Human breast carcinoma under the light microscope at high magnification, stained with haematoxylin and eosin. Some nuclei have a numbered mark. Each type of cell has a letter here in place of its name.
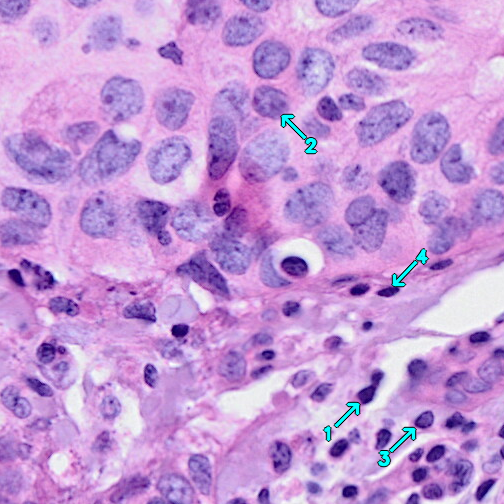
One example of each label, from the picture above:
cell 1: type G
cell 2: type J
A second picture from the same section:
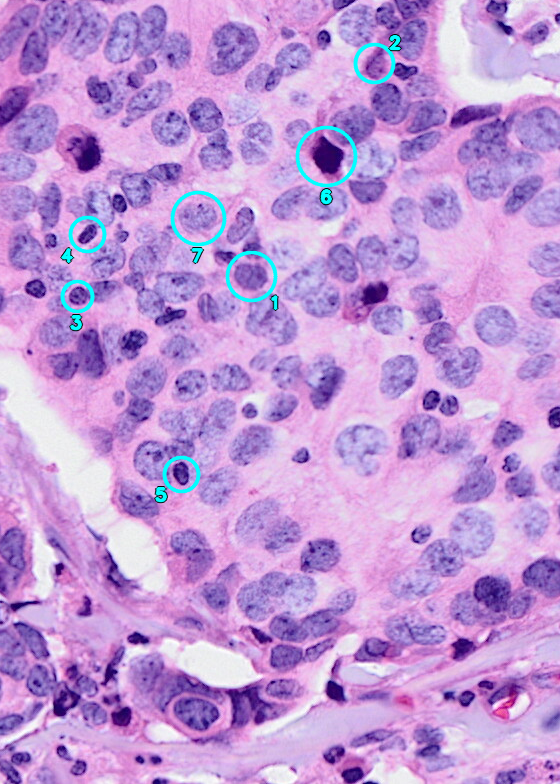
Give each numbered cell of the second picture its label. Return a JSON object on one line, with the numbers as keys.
{"1": "type J", "2": "type J", "3": "type G", "4": "type G", "5": "type G", "6": "type J", "7": "type J"}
